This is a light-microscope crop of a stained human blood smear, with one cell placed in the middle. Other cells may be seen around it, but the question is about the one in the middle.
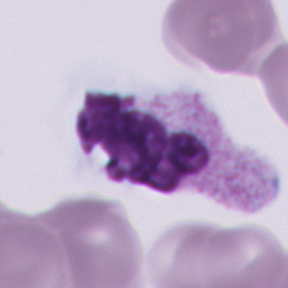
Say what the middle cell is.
neutrophil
